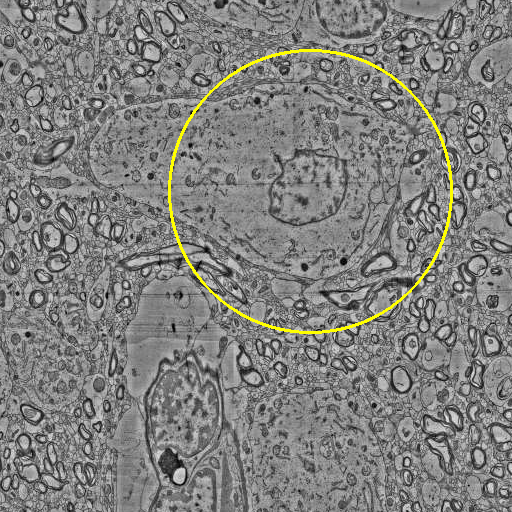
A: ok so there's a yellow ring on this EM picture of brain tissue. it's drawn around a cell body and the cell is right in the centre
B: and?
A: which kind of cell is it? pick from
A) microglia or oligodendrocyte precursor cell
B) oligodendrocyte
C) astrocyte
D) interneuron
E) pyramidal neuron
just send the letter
E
